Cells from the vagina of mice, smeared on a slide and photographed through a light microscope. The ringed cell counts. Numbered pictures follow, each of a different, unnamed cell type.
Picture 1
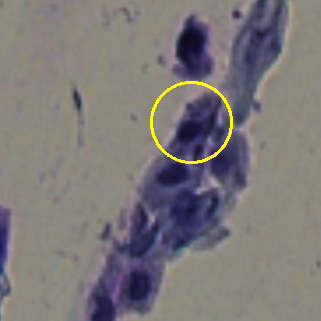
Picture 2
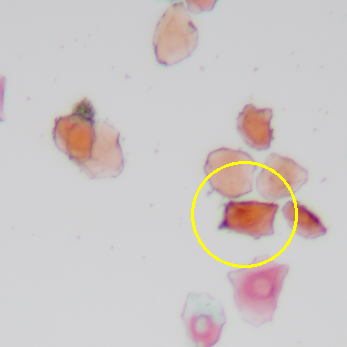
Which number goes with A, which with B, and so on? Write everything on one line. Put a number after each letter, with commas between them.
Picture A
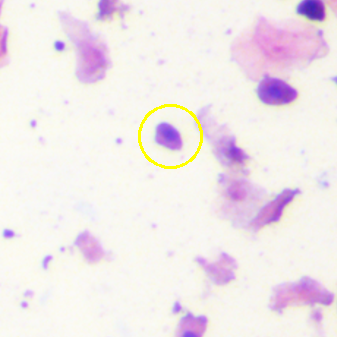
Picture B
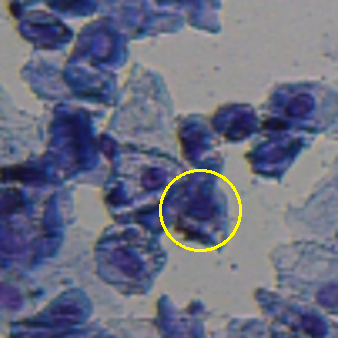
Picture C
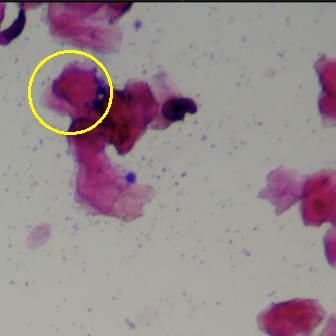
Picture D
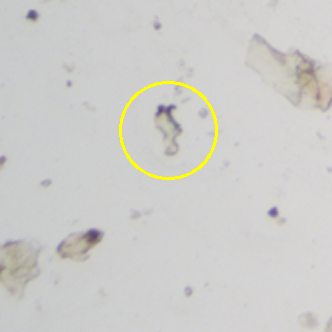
A 1, B 1, C 2, D 2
